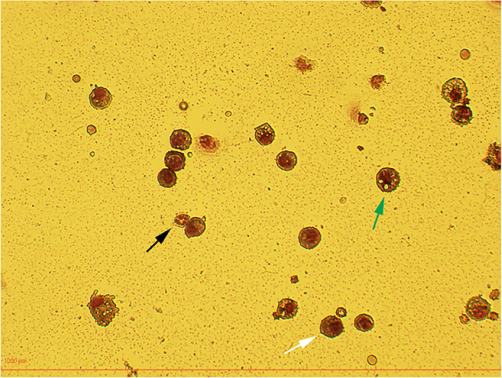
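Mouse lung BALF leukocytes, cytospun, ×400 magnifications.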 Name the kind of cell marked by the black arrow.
Neutrophils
